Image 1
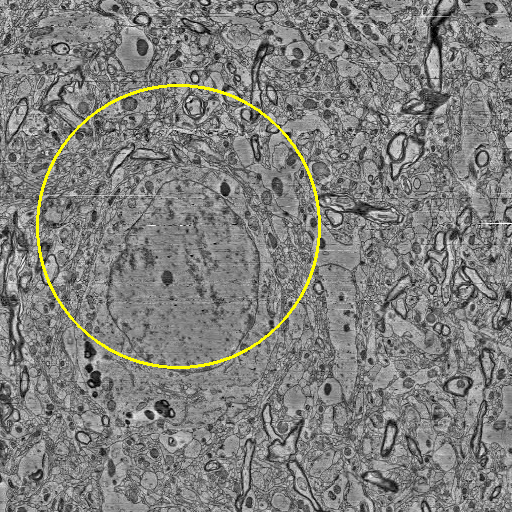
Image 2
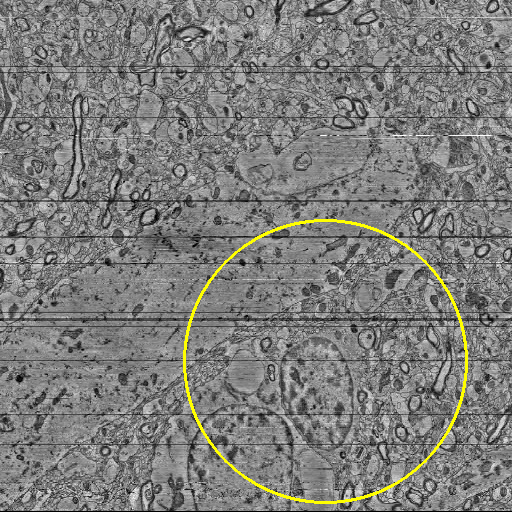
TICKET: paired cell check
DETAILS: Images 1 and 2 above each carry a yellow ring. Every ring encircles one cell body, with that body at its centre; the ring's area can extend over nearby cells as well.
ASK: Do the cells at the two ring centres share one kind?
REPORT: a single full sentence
No, the ring-centre cells of Images 1 and 2 belong to two kinds.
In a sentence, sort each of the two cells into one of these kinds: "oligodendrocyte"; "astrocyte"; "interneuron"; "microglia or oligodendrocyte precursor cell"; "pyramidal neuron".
The first of the two cells is a pyramidal neuron, and the second is an oligodendrocyte.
